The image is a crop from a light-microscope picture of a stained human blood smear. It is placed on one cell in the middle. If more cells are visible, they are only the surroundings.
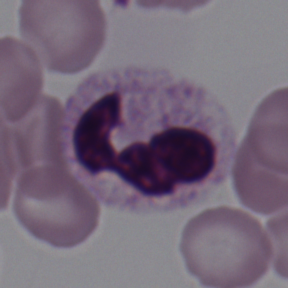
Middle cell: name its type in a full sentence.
By type, the central cell of the crop is a segmented neutrophil.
